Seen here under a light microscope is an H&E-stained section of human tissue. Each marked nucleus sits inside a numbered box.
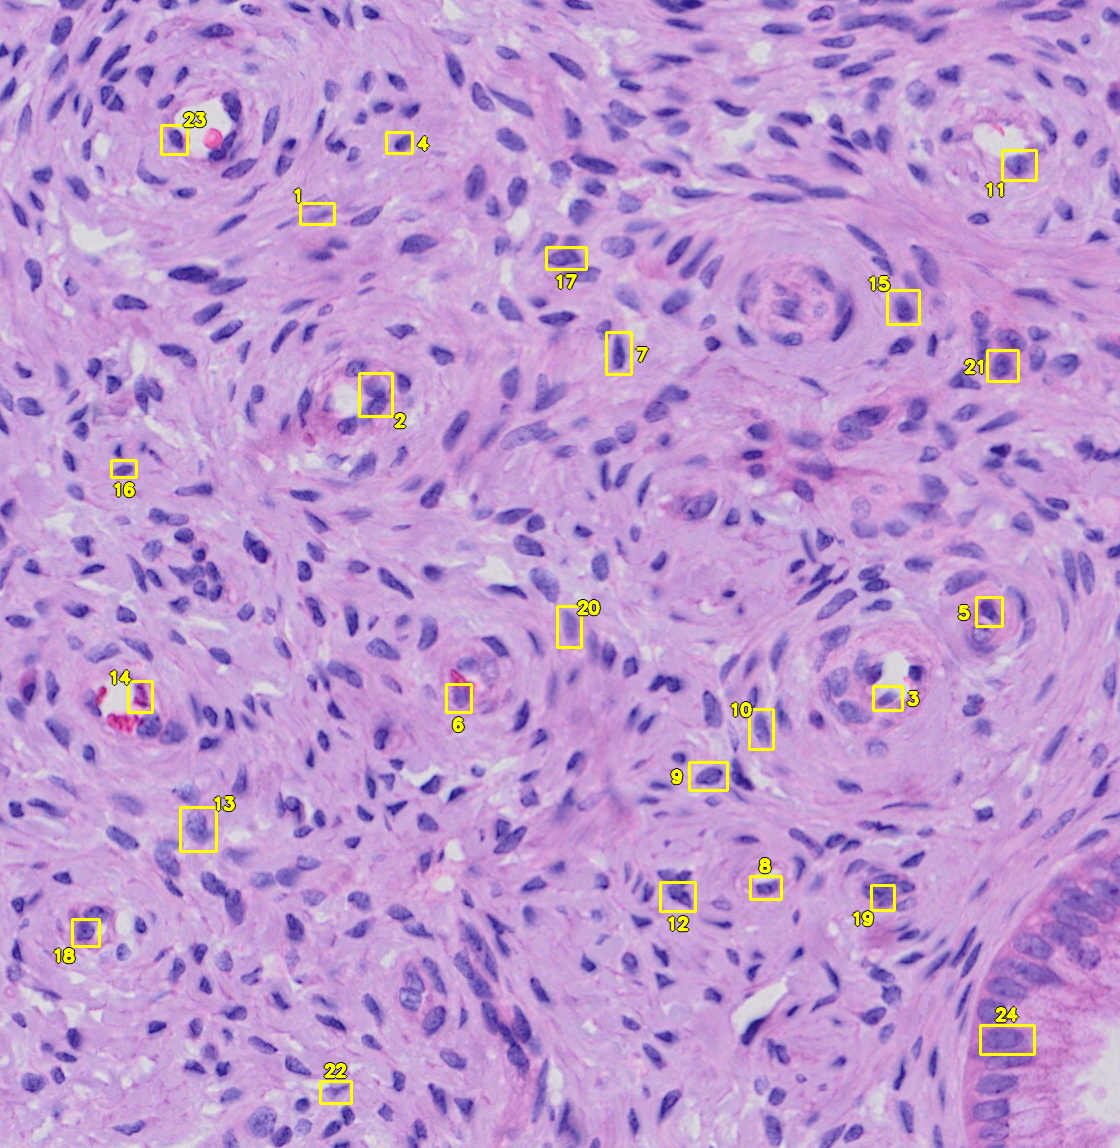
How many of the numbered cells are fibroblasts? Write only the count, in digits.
12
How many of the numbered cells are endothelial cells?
11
